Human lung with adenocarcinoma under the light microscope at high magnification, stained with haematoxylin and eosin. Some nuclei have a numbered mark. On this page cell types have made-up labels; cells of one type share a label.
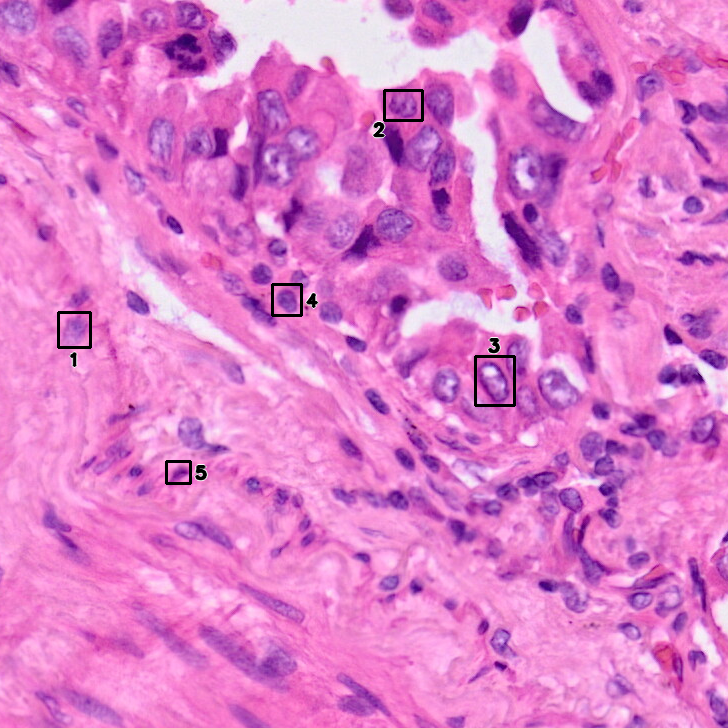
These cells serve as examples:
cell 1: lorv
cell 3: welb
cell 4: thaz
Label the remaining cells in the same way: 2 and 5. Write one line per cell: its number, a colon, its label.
2: welb
5: lorv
